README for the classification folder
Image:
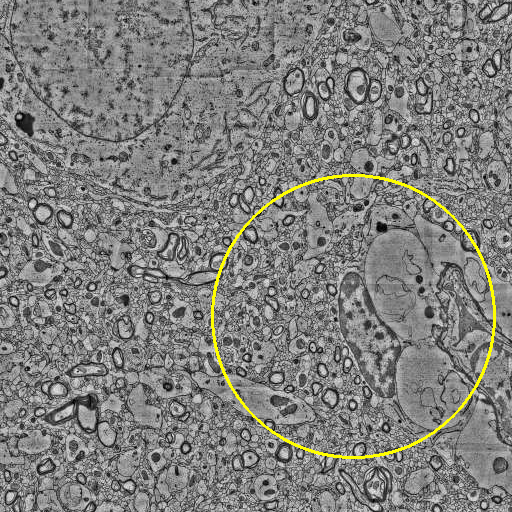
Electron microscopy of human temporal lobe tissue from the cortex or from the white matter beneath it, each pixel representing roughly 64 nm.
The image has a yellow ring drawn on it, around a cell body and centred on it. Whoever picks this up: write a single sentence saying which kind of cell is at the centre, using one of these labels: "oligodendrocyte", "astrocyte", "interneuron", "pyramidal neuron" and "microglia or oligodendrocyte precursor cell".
This cell body is that of a microglial cell or oligodendrocyte precursor cell.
